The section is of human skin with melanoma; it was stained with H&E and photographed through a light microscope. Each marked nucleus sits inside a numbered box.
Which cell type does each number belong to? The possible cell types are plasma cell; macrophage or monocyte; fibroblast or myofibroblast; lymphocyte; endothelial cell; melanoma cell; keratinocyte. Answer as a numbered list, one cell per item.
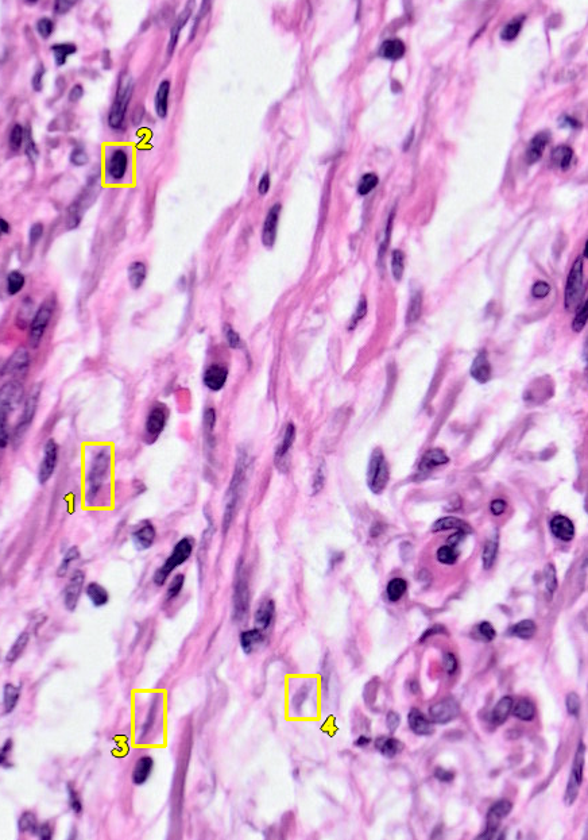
1. fibroblast or myofibroblast
2. plasma cell
3. fibroblast or myofibroblast
4. fibroblast or myofibroblast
